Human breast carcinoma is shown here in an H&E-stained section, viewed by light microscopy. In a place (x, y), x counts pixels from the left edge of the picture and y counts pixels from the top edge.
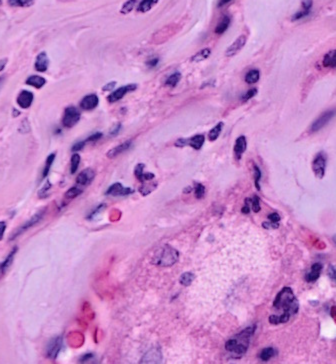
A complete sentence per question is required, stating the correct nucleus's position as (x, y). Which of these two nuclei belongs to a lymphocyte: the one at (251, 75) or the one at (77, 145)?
The nucleus at (77, 145) is part of a lymphocyte, while the other is not.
